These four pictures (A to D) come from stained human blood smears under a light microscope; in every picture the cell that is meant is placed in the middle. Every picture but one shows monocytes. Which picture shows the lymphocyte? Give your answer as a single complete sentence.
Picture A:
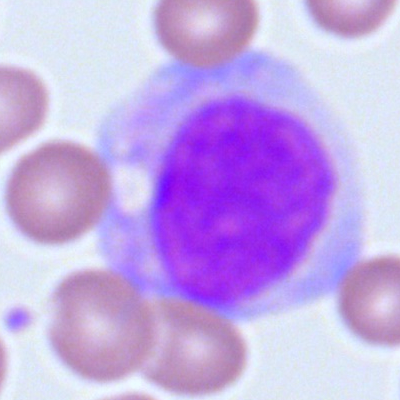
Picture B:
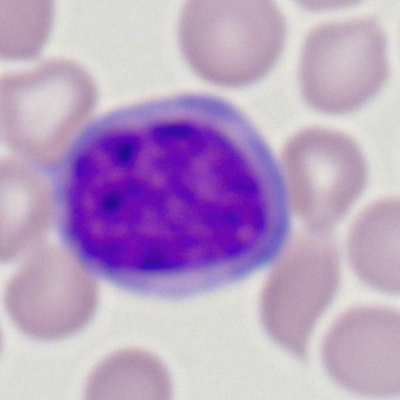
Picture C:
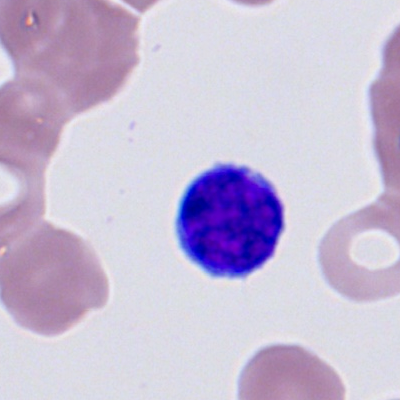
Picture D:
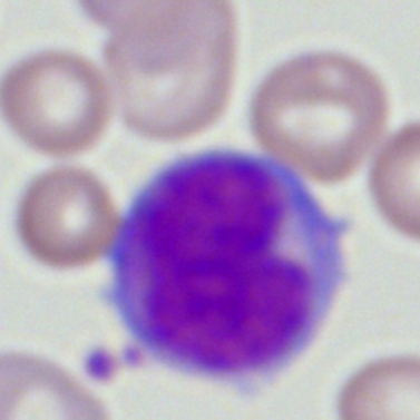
The picture with the lymphocyte is C.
